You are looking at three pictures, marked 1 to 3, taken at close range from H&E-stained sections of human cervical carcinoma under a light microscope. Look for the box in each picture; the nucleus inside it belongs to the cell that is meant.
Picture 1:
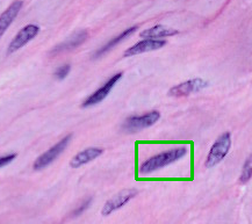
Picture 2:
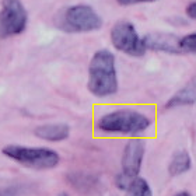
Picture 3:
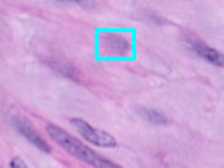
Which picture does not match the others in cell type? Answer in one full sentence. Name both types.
The others show fibroblasts, but picture 3 shows a smooth muscle cell.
